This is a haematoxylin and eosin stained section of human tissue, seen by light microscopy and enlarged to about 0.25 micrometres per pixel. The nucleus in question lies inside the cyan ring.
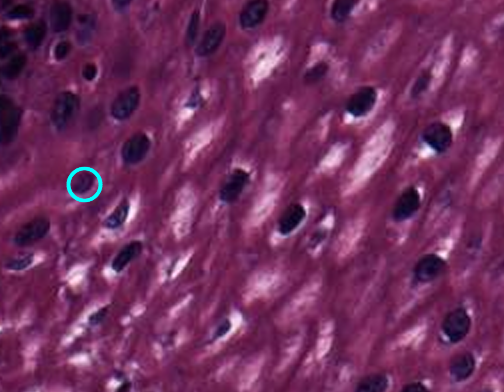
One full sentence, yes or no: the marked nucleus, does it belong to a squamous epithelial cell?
Yes, the marked nucleus, in this picture, is that of a squamous epithelial cell.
